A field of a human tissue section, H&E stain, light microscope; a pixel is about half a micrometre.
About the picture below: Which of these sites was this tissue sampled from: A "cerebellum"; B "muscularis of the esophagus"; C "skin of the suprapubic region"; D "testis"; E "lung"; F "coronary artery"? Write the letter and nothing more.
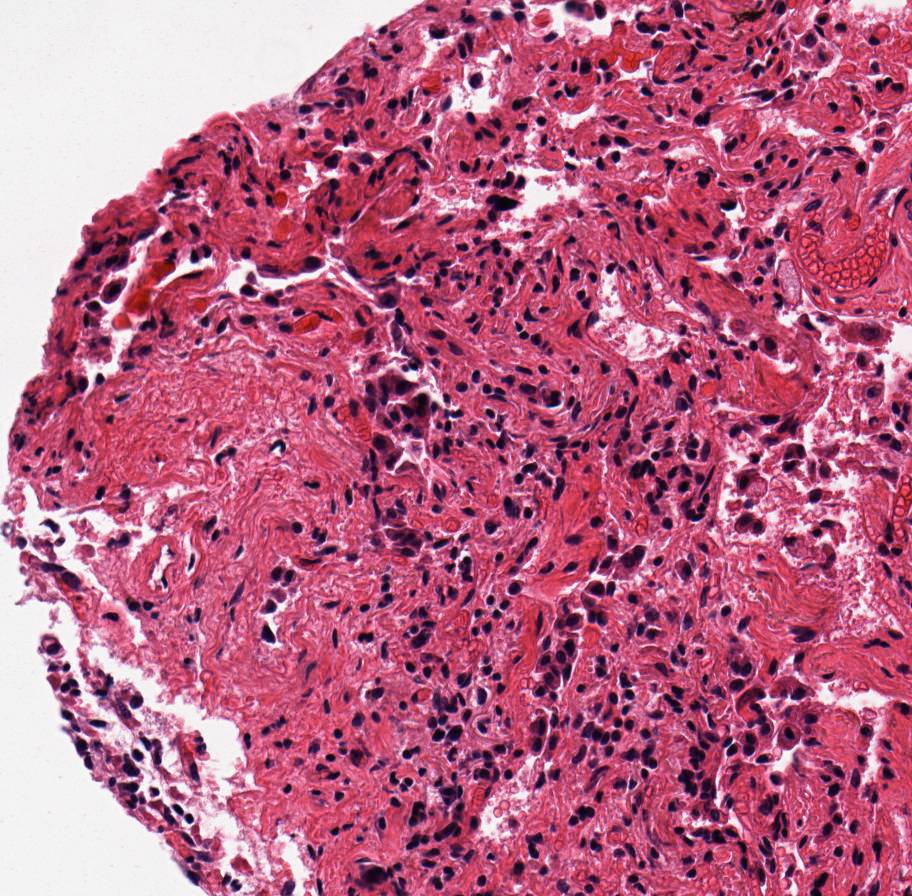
E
